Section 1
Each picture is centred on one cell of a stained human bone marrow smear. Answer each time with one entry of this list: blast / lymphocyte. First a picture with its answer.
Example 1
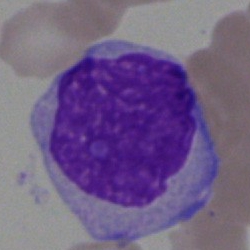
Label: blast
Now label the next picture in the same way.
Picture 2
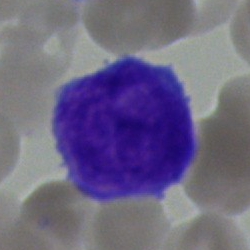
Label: blast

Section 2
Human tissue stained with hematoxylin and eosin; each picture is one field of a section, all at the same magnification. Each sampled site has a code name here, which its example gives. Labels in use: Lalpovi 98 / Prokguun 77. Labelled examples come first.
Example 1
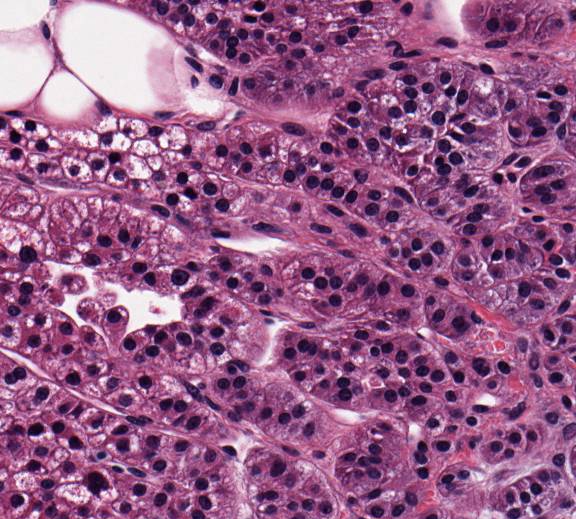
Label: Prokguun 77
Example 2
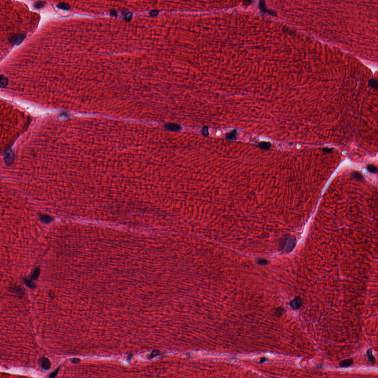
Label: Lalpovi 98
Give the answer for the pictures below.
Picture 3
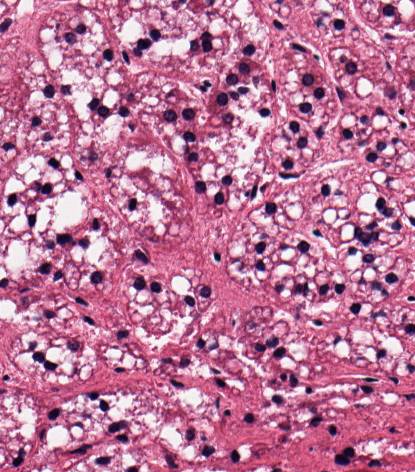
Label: Prokguun 77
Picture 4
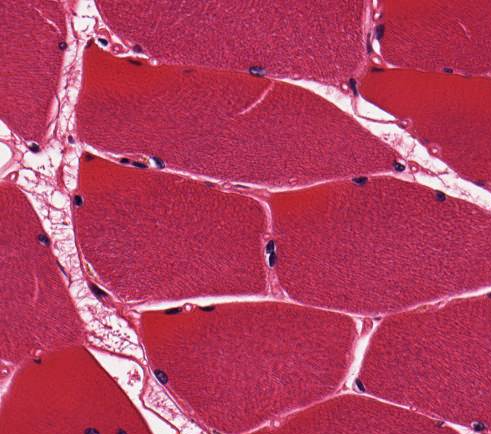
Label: Lalpovi 98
